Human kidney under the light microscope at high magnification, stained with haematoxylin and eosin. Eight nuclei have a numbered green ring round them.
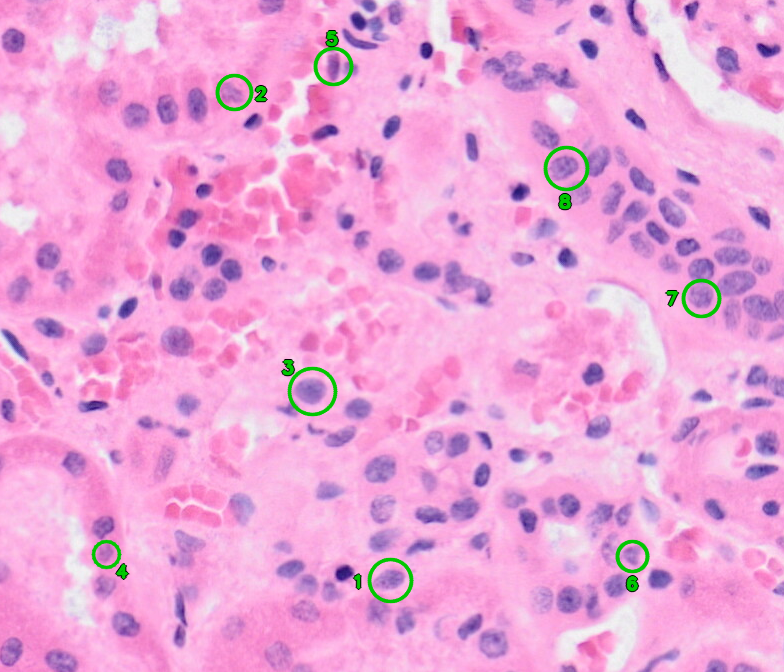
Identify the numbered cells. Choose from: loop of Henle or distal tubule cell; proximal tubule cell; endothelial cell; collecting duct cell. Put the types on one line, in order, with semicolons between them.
endothelial cell; proximal tubule cell; endothelial cell; proximal tubule cell; endothelial cell; collecting duct cell; collecting duct cell; collecting duct cell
